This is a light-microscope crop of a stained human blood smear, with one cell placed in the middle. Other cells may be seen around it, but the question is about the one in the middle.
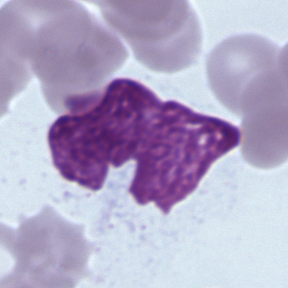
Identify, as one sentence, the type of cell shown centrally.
The cell nearest the centre of this crop is a smudge cell.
